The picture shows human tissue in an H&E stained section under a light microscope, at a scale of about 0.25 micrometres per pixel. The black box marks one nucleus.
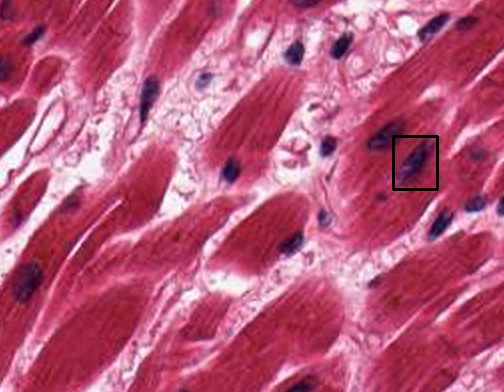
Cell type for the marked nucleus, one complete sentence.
The marked nucleus is a nucleus of a cardiomyocyte.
